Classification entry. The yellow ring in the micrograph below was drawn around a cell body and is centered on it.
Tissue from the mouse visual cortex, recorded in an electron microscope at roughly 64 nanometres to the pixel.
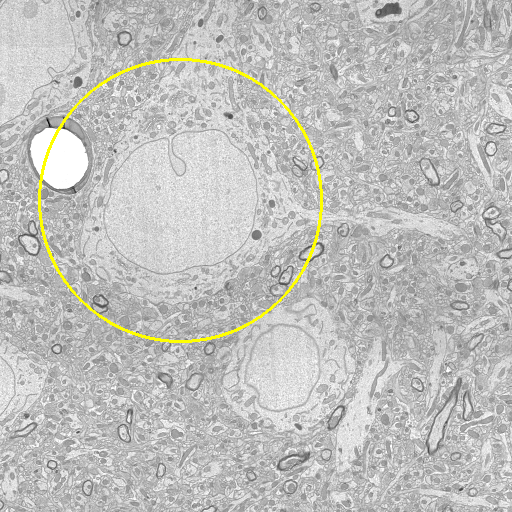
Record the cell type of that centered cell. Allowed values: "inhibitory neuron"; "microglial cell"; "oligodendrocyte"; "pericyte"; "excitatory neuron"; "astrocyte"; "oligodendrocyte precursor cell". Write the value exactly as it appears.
excitatory neuron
